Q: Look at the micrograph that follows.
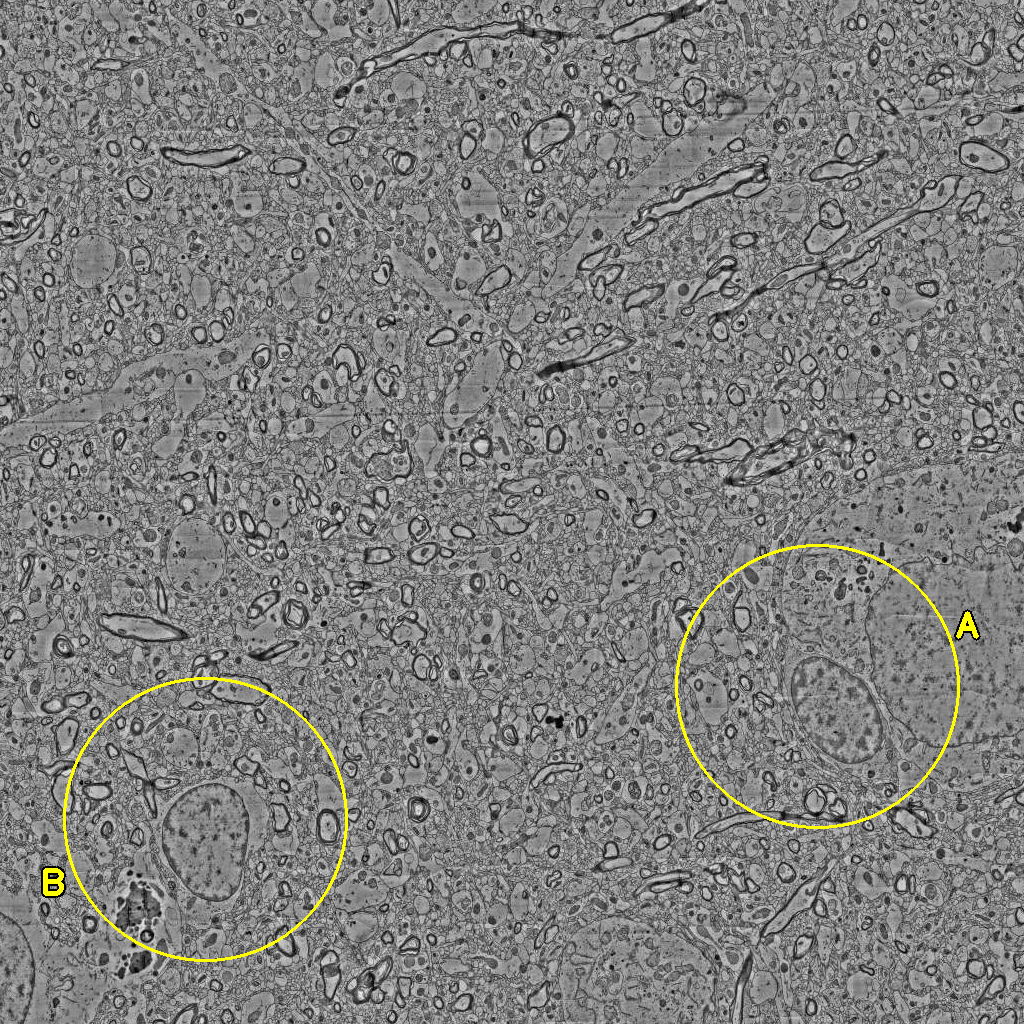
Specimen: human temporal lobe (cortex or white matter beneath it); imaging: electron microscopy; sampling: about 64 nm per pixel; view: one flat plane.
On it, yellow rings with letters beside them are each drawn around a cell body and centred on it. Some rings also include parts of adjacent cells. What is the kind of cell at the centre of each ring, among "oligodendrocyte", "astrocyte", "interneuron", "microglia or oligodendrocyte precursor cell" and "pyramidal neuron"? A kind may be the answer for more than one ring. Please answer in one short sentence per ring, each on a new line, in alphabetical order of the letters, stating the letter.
Ring A surrounds the cell body of an oligodendrocyte.
Ring B surrounds the cell body of a microglial cell or oligodendrocyte precursor cell.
